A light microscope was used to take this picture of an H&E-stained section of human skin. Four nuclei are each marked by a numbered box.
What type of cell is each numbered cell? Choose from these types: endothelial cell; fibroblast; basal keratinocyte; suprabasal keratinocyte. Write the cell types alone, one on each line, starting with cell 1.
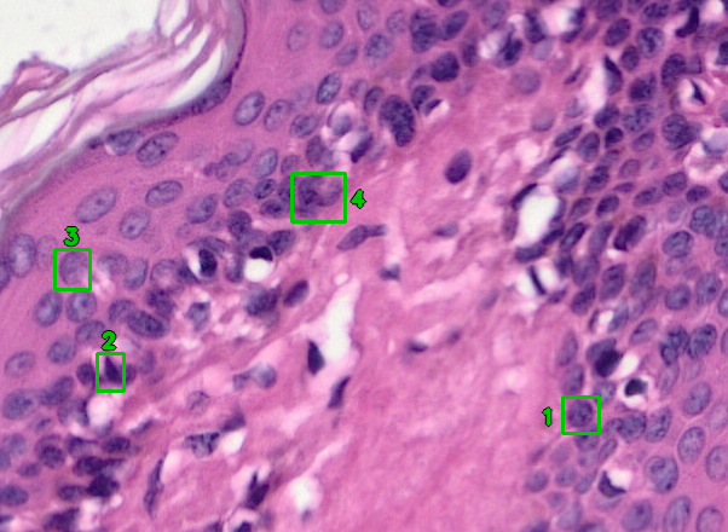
basal keratinocyte
basal keratinocyte
suprabasal keratinocyte
basal keratinocyte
